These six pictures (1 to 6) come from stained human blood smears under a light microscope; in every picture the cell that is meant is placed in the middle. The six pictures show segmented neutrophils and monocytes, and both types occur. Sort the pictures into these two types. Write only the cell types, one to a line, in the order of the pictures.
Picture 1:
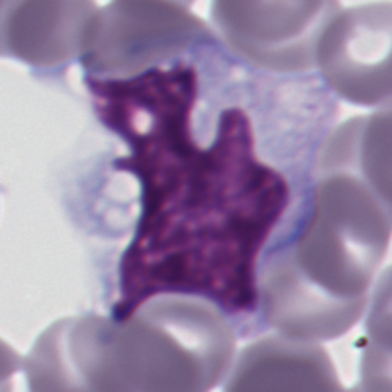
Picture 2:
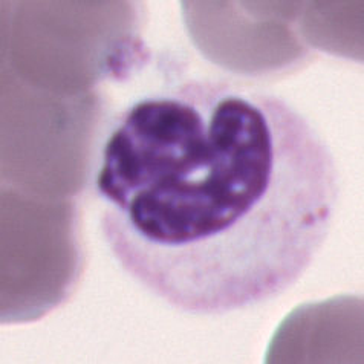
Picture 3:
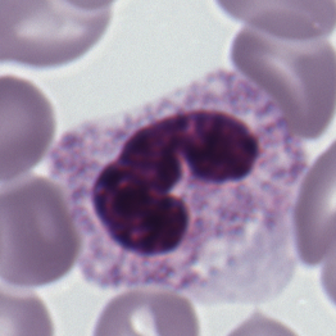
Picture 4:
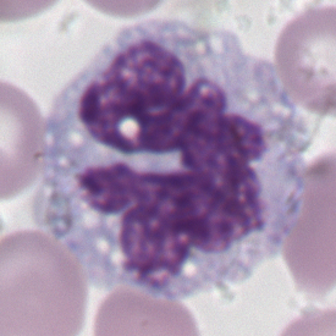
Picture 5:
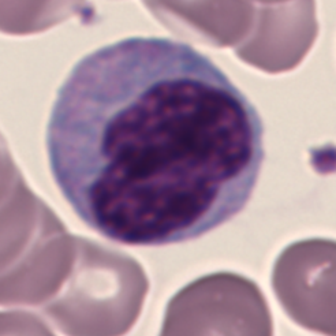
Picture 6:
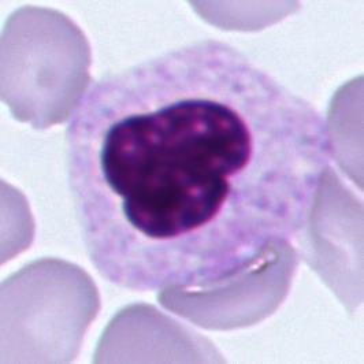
monocyte
segmented neutrophil
segmented neutrophil
monocyte
monocyte
segmented neutrophil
